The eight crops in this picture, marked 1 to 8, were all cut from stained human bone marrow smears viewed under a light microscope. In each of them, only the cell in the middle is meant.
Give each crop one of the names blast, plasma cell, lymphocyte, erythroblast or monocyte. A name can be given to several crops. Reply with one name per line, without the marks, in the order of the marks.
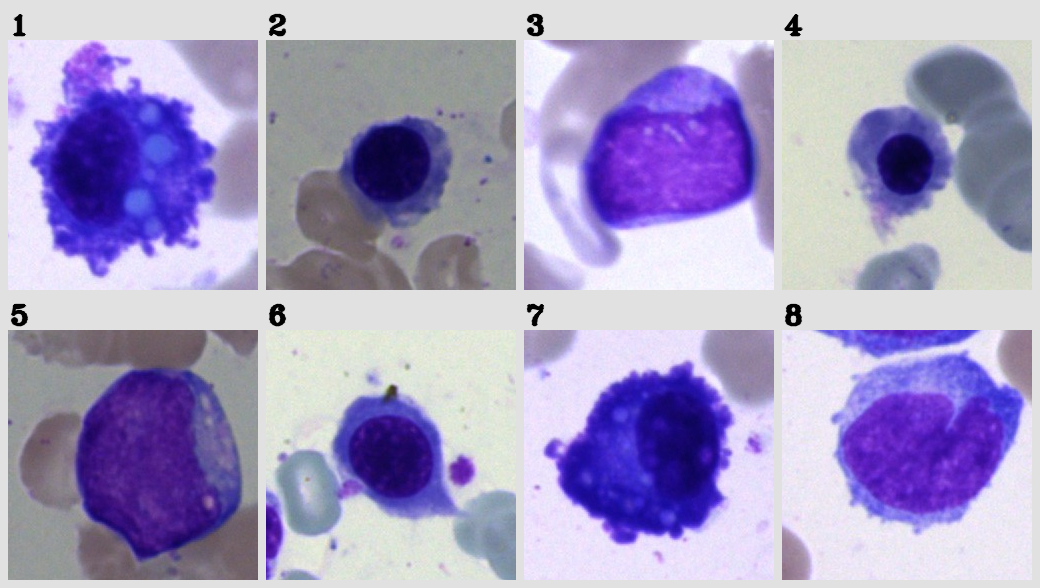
plasma cell
erythroblast
blast
erythroblast
blast
erythroblast
plasma cell
blast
